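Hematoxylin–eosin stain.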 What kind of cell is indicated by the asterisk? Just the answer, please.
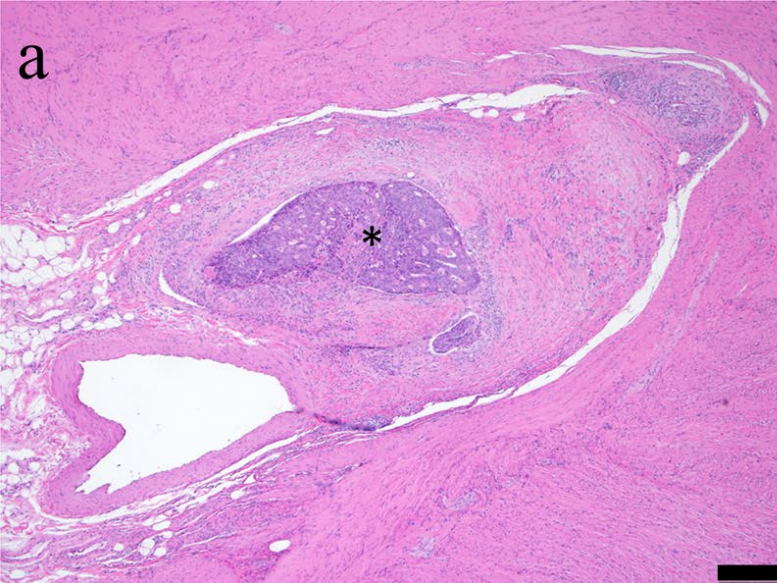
Tumor cells.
